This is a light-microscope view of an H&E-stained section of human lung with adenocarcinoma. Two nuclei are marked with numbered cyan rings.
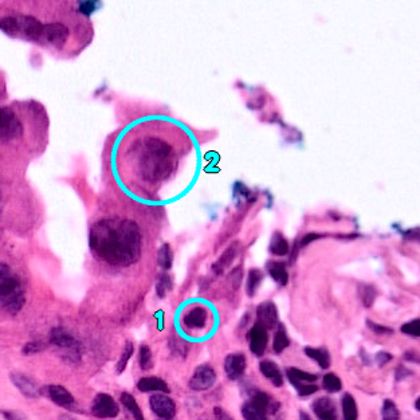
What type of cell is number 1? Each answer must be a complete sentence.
Here the cell numbered 1 is a lymphocyte.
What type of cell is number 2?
In the tissue shown, cell 2 is a carcinoma cell.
